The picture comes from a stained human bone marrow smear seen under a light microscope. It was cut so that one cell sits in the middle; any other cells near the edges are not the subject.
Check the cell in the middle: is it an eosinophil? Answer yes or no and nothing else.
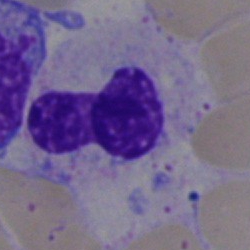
no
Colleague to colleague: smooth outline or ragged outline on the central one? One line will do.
Irregular rather than smooth, the cell margin shows ragged areas or projections.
